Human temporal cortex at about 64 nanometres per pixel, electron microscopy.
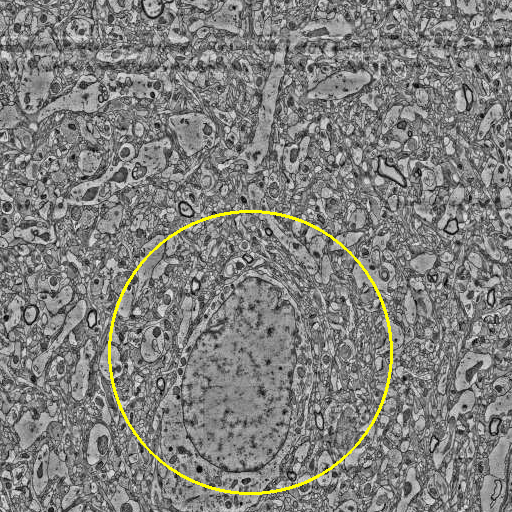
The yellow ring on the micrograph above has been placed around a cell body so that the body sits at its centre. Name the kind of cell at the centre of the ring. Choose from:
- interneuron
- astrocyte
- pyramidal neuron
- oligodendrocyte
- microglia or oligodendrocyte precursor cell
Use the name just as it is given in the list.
interneuron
